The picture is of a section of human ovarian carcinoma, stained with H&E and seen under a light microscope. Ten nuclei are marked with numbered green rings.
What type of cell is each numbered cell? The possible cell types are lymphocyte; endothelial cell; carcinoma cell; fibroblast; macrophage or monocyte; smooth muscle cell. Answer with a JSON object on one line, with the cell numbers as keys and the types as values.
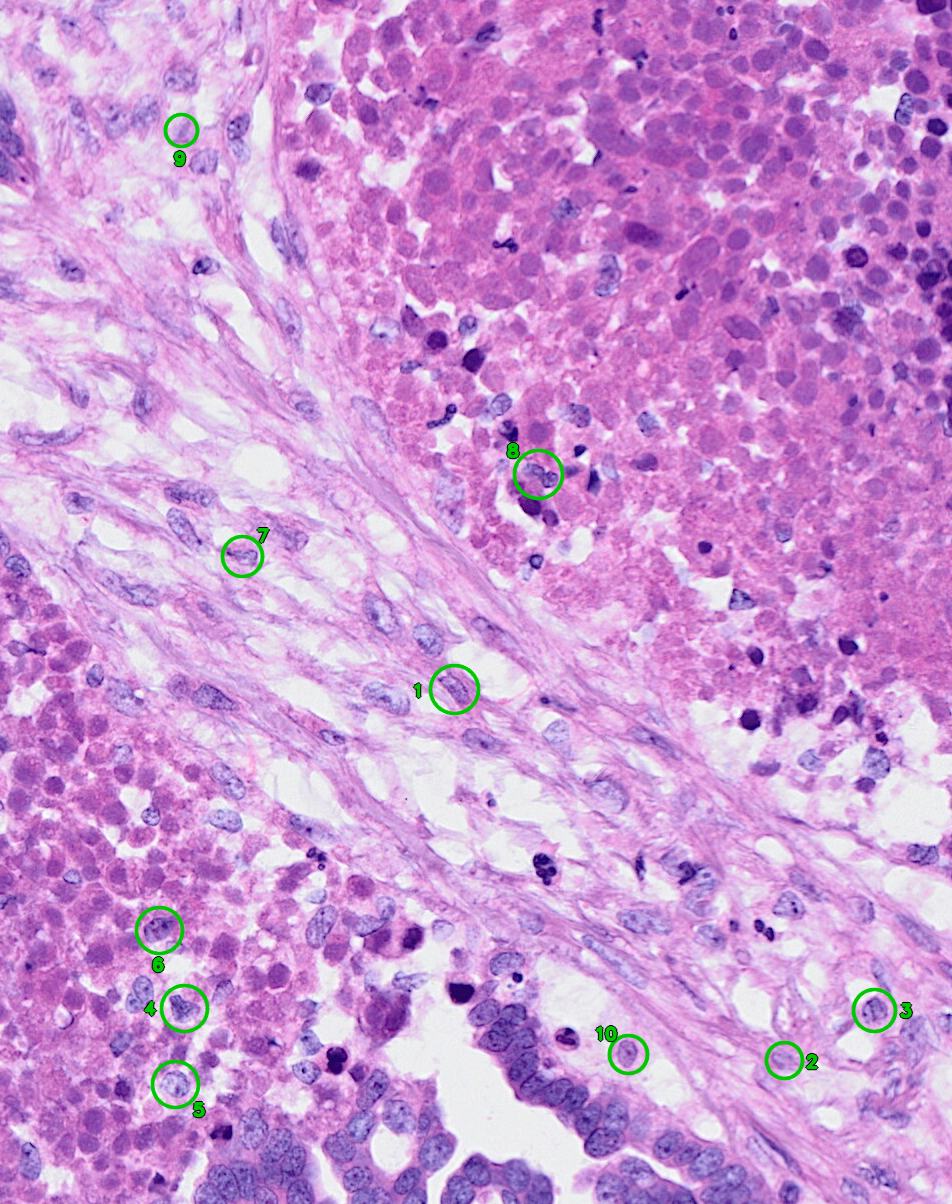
{"1": "fibroblast", "2": "fibroblast", "3": "macrophage or monocyte", "4": "macrophage or monocyte", "5": "macrophage or monocyte", "6": "macrophage or monocyte", "7": "fibroblast", "8": "macrophage or monocyte", "9": "fibroblast", "10": "macrophage or monocyte"}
